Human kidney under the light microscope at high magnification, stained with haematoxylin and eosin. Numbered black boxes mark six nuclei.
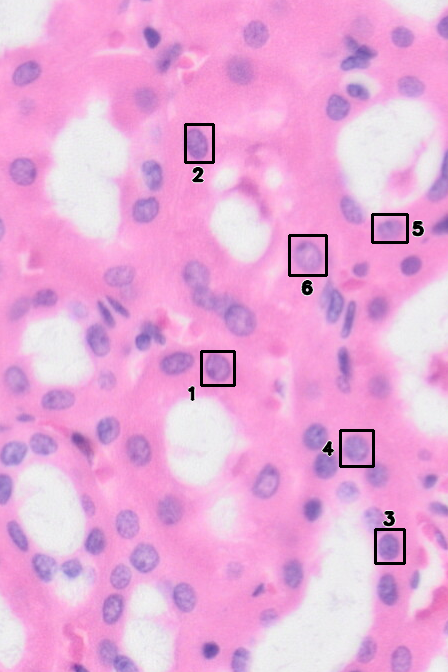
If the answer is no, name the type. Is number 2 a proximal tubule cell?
Yes.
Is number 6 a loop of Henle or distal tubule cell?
No, it is a proximal tubule cell.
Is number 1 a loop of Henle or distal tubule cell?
No, it is a proximal tubule cell.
